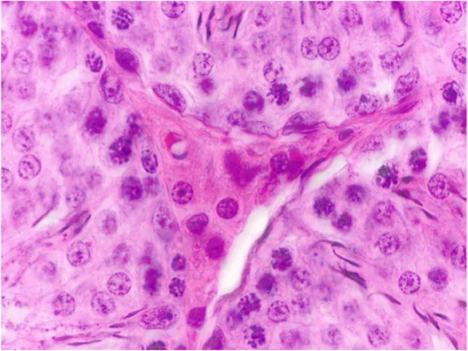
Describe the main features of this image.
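This is testicular interstitial tissue with Leydig cells lying in a triangular space where three seminiferous tubules meet. The interstitial cells have plentiful pale pink cytoplasm and round nuclei, and a narrow clear vessel-like cleft runs through the space. Around it the tubules are lined by germ cells with round nuclei, several with coarse clumped chromatin as in dividing cells. Elongated dark sperm heads appear at the inner edges of the tubule epithelium. Thin flattened cells outline the tubule walls against the interstitium.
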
